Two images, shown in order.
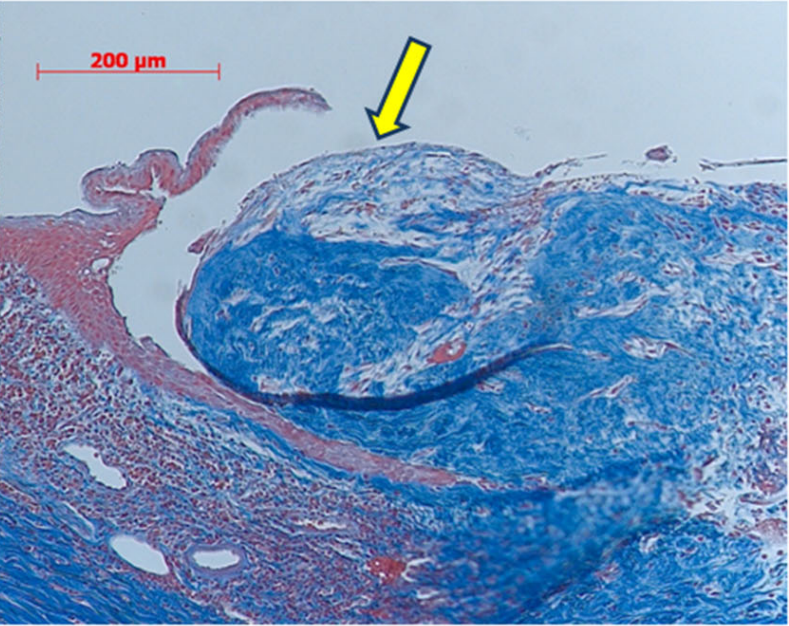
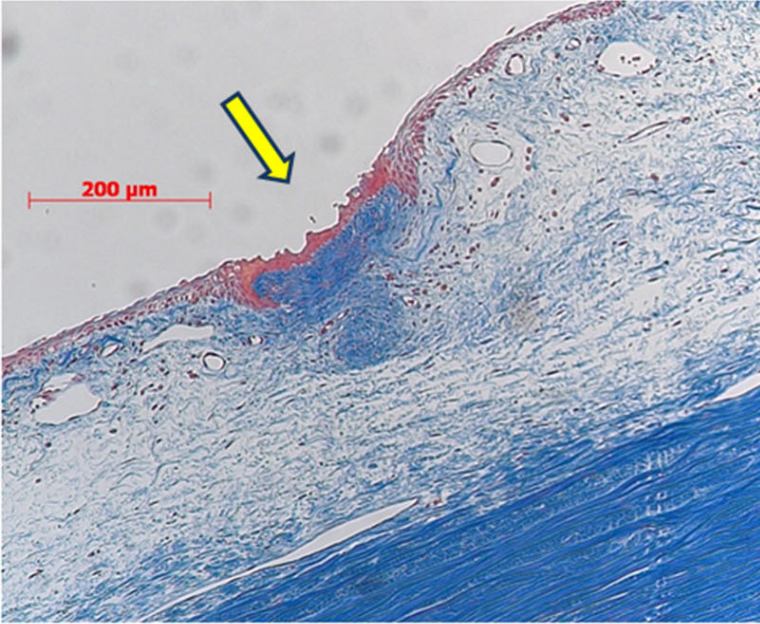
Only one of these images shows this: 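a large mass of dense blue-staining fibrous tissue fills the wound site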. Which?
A: The first image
